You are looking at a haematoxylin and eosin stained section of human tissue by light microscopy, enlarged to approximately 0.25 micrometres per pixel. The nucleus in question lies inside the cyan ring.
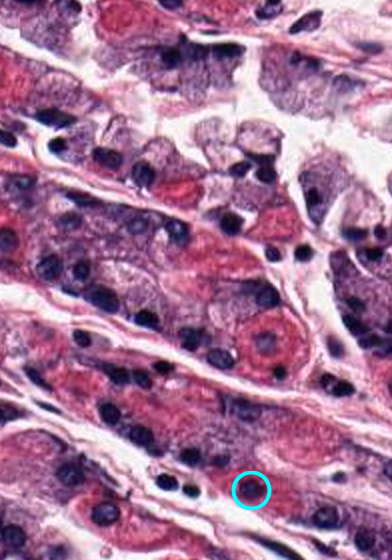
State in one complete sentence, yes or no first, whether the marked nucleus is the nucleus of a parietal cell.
Yes, the marked nucleus is the nucleus belonging to a parietal cell.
